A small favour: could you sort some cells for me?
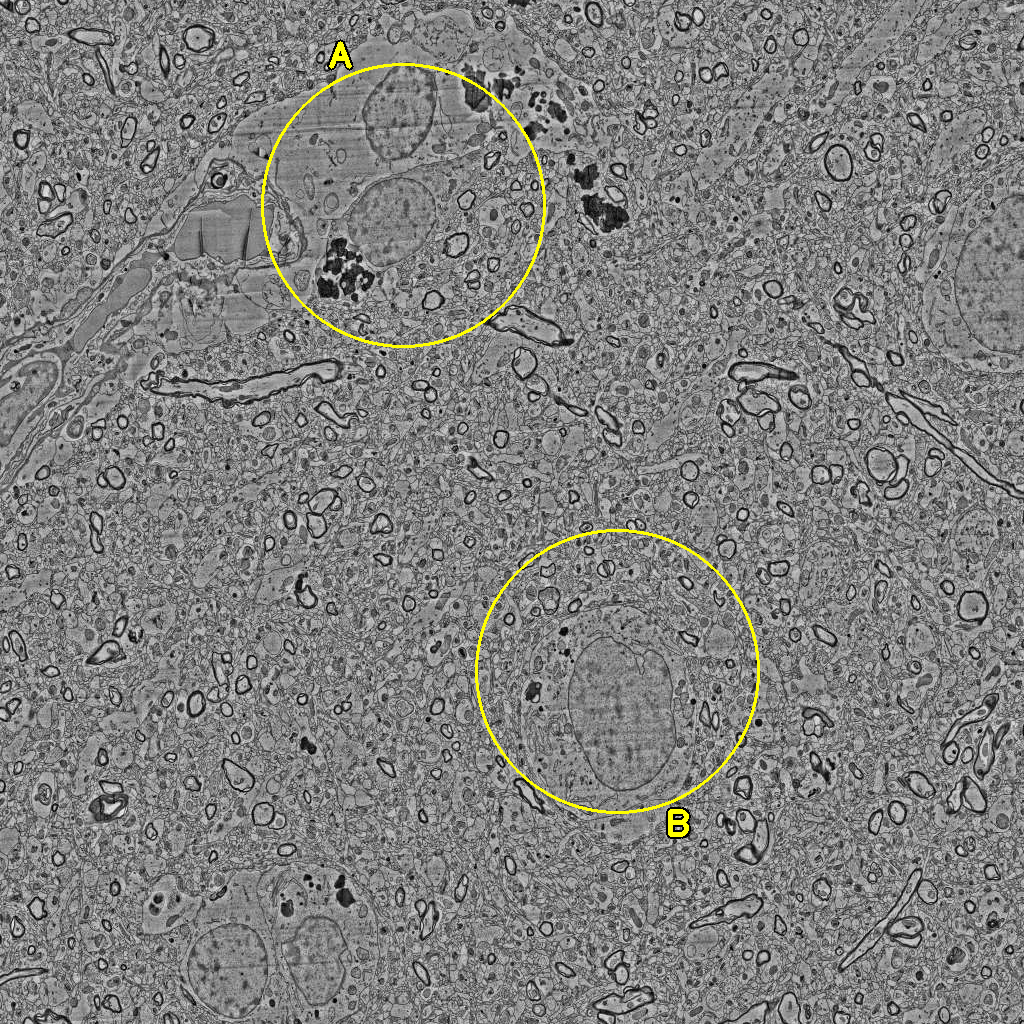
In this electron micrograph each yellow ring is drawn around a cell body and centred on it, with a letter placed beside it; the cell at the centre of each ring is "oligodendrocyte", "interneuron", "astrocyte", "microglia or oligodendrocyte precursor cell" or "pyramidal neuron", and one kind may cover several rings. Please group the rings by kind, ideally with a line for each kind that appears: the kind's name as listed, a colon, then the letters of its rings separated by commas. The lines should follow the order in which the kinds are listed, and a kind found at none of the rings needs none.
oligodendrocyte: A
pyramidal neuron: B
